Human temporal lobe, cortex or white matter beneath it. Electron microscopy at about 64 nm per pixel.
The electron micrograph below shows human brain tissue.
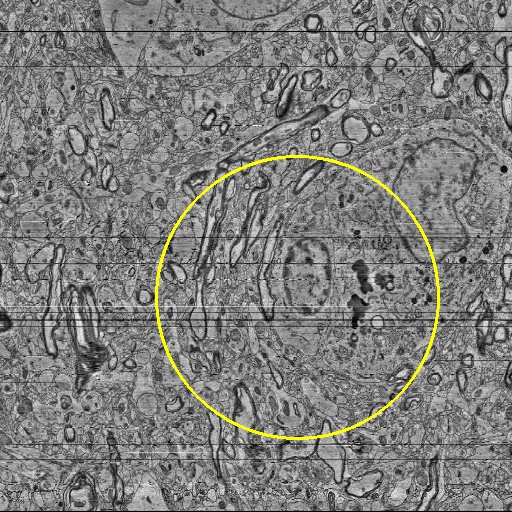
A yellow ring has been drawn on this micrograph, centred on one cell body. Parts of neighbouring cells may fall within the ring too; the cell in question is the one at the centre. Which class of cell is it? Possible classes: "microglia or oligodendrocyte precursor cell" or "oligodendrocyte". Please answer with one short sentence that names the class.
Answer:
In the centre of the ring sits a microglial cell or oligodendrocyte precursor cell.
